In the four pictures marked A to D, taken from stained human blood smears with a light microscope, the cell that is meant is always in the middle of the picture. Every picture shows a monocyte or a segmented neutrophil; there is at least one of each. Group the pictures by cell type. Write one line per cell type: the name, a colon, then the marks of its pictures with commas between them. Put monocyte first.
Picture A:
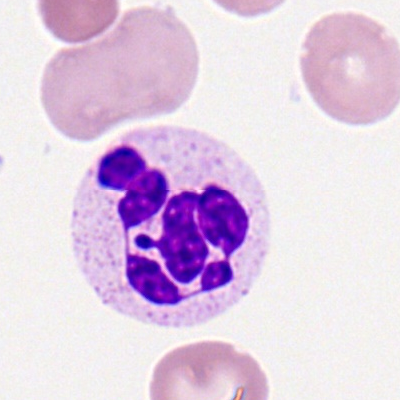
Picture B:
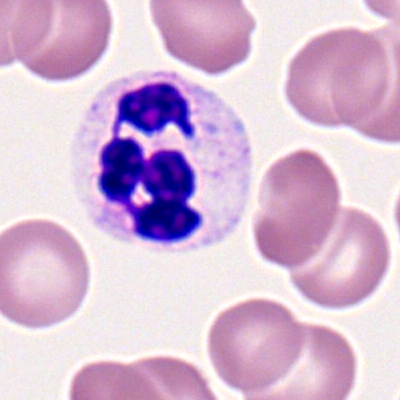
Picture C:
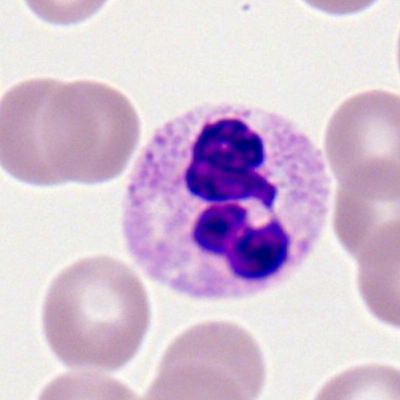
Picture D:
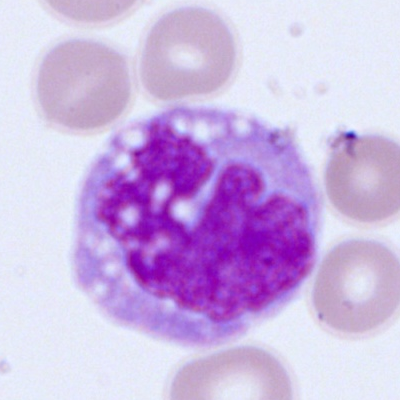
monocyte: D
segmented neutrophil: A, B, C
